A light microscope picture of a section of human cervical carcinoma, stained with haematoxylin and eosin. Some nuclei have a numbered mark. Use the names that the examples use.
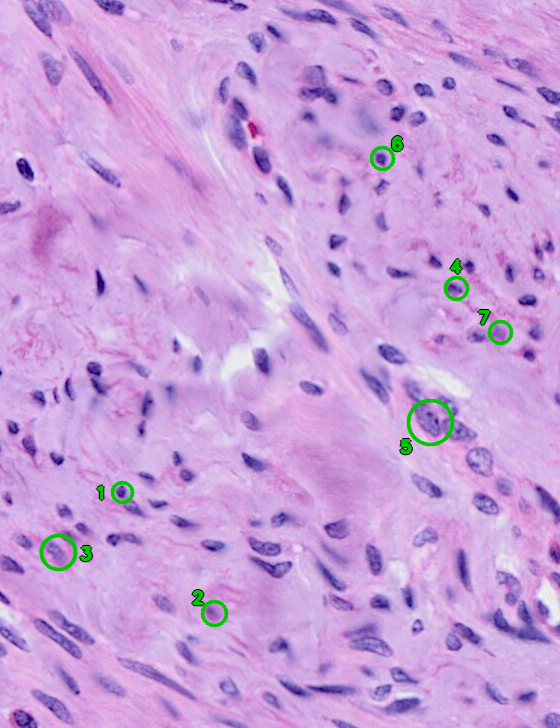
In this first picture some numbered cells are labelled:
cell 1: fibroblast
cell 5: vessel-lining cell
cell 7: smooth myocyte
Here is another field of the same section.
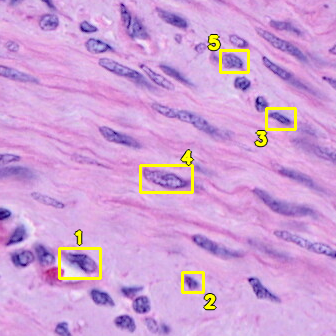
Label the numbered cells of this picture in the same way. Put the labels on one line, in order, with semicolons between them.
vessel-lining cell; fibroblast; smooth myocyte; smooth myocyte; smooth myocyte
